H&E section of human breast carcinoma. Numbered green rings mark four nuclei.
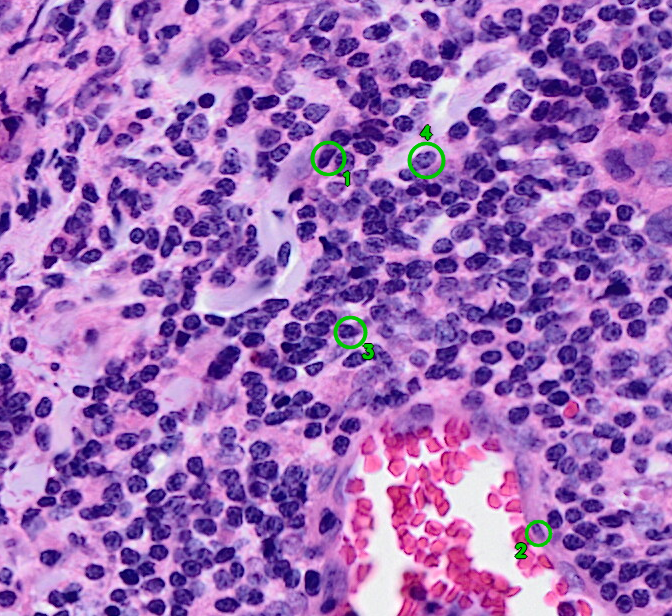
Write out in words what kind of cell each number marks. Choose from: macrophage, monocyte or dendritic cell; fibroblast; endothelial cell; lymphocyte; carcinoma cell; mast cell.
Cells 1, 3 and 4 are lymphocytes. Cell 2 is an endothelial cell.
